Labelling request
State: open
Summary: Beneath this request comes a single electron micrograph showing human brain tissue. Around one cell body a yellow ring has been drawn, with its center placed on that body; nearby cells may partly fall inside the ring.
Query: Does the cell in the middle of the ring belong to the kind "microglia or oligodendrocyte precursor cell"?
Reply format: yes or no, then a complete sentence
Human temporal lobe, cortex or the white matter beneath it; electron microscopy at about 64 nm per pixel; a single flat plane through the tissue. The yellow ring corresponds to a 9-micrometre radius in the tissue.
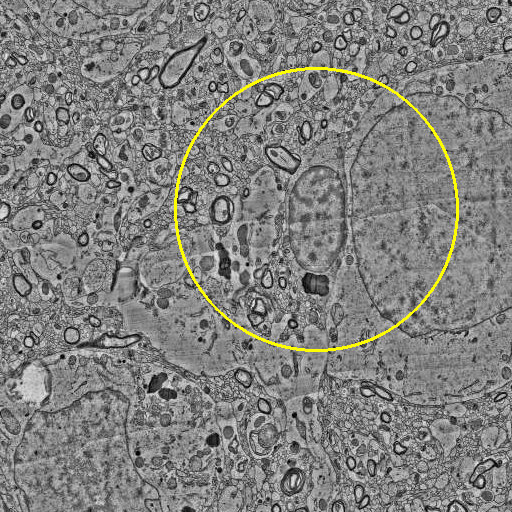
No, the cell sitting at the center of the ring in this picture is of a different kind.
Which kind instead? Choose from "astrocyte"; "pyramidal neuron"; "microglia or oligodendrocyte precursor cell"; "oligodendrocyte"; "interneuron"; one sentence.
The cell ringed in the picture is an oligodendrocyte.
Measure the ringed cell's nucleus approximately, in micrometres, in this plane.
About 7 by 4 micrometres, the nucleus being clearly longer than it is wide in this plane.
